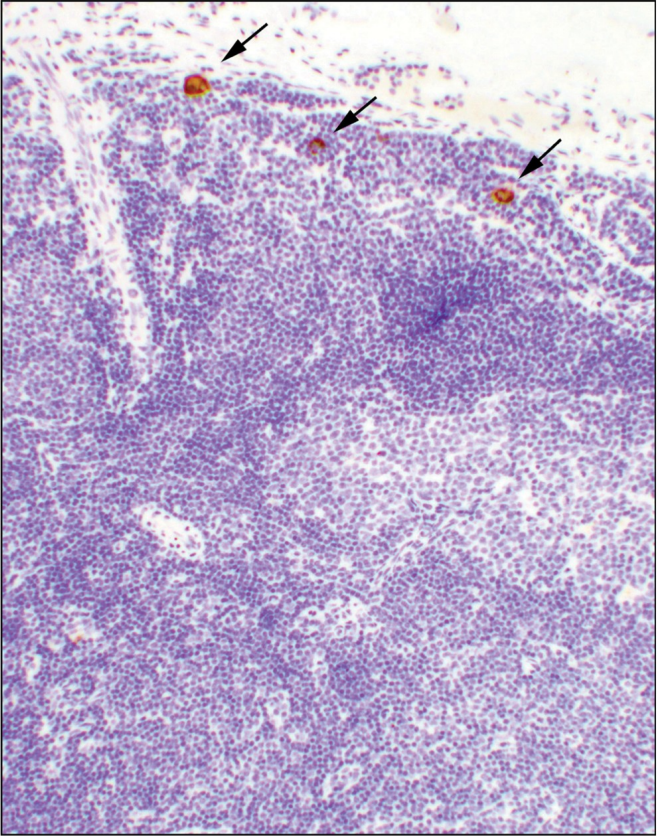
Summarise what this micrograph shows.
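This is lymph node tissue in which almost all cells are small, round, densely packed lymphoid cells with blue nuclei and scant cytoplasm. A thin loose fibrous capsule runs along the top, with a vessel running obliquely at the upper left. Just beneath the capsule, three single cells are stained brown; they lie well apart from one another and are larger than the surrounding lymphoid cells.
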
